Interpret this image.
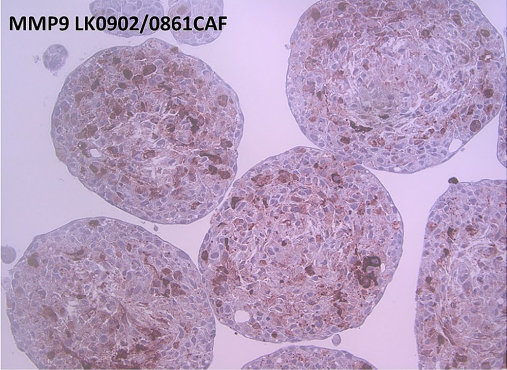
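Sections of rounded multicellular spheroids of closely packed cells with blue nuclei. Brown stain is scattered through the interior, with some individual cells stained dark brown. Within the interior, pale areas contain elongated spindle-shaped cells arranged in swirls. The outer layer of rounded cells is less stained. Spheroid borders are smooth.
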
